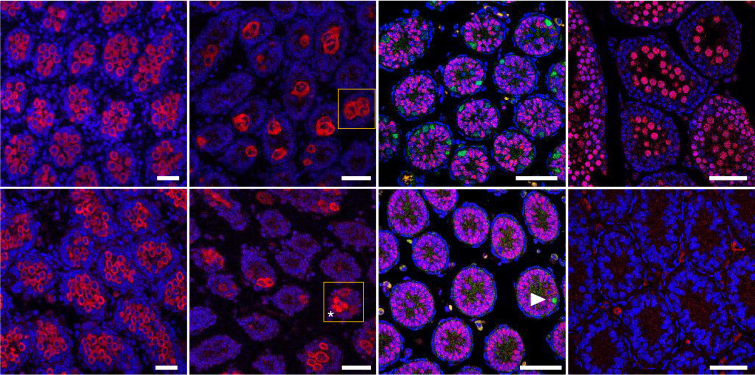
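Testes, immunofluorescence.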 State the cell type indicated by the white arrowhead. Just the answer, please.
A: Spermatogonium.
